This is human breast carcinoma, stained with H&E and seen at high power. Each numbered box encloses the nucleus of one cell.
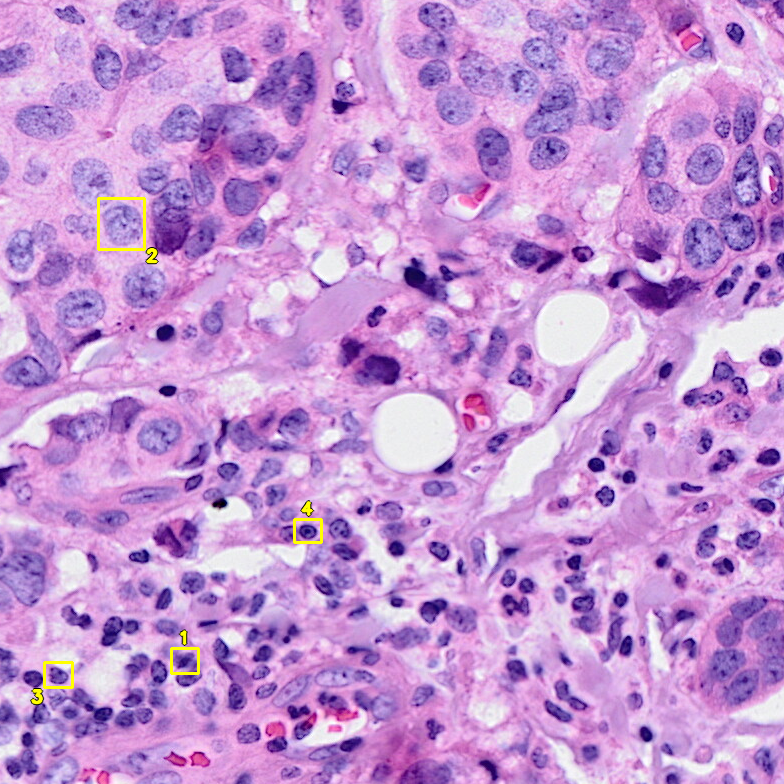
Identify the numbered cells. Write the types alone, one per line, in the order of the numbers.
lymphocyte
carcinoma cell
lymphocyte
lymphocyte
